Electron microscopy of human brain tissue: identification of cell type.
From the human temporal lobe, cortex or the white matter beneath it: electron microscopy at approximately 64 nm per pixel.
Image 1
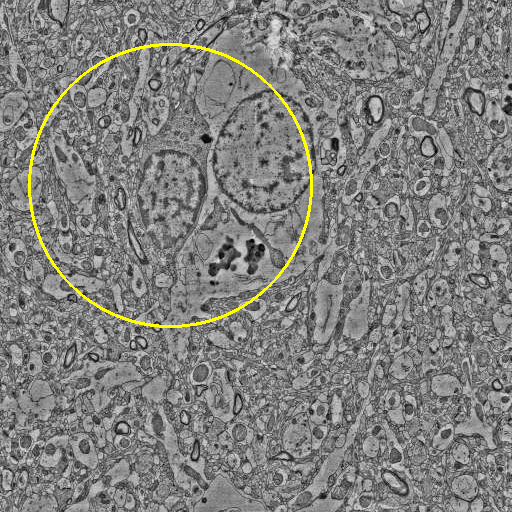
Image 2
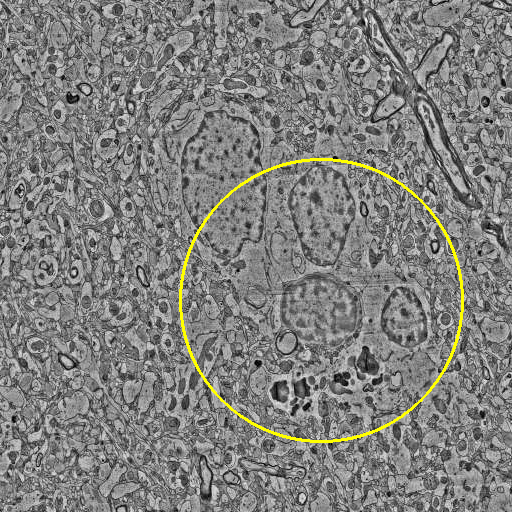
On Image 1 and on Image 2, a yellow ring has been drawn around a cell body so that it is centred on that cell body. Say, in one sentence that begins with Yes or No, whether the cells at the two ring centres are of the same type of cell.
Yes, both cells are the same type of cell.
